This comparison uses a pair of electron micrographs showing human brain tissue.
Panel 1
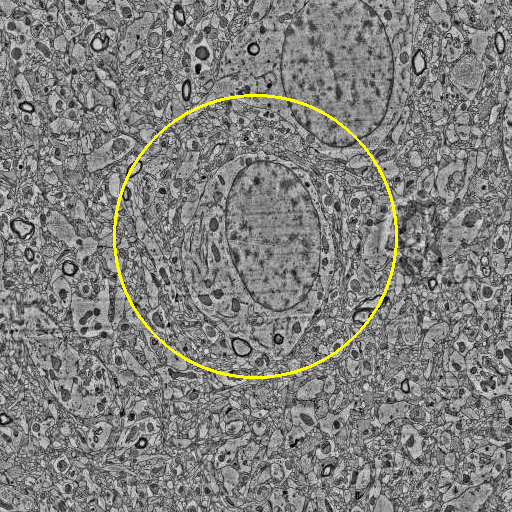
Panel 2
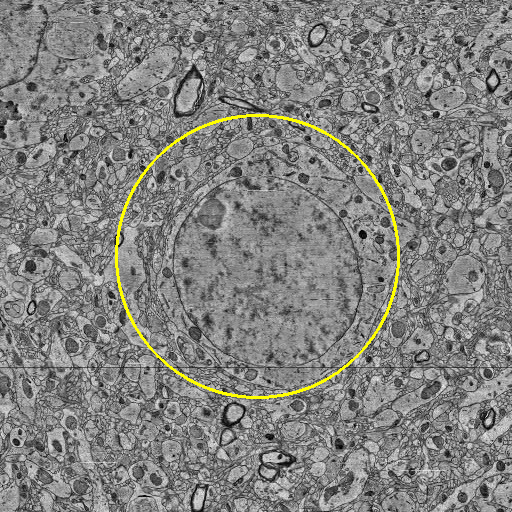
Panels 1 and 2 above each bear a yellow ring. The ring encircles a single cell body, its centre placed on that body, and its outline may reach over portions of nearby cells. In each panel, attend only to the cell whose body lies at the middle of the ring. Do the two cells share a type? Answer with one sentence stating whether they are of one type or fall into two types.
In Panel 1 and Panel 2, the cells at the centres of the rings are of one type.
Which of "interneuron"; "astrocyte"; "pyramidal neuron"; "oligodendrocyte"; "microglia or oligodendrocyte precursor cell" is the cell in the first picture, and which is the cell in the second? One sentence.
In the first picture and in the second, the ring is centred on a pyramidal neuron.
